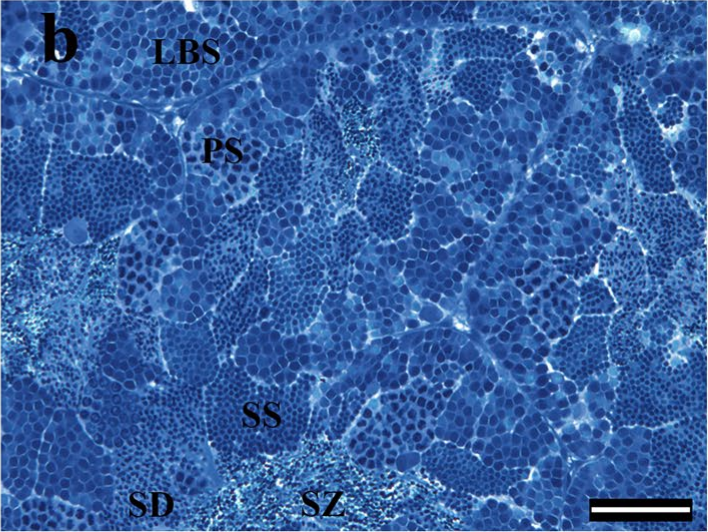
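This section of a mature testis shows germ cells at many stages of development. They lie in separate cysts partitioned by thin pale walls. Each cyst holds cells of a single size. Some cysts contain larger round cells with visible nuclei, and others contain smaller, more densely stained round cells. Toward the lower part of the field, cysts are filled with masses of tiny dark dot-like sperm heads scattered on a paler background.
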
